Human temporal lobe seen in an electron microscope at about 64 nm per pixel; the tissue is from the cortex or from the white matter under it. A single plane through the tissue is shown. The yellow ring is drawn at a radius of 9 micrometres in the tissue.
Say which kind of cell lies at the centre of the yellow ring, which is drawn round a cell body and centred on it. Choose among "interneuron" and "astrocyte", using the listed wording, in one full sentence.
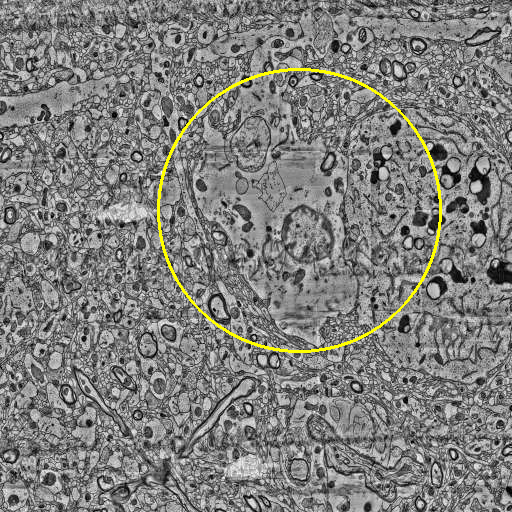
Going by the list, the cell at the yellow ring's centre is an astrocyte.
